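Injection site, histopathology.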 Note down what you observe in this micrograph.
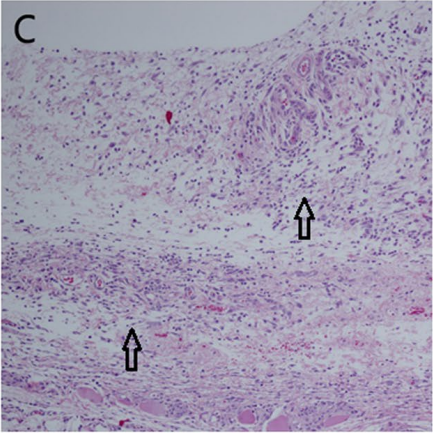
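Many small dark nuclei are scattered throughout, and a denser band of them runs across the lower middle. A group of small vessels with pink walls lies at the upper right. Fragments of pink skeletal muscle appear at the bottom edge.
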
